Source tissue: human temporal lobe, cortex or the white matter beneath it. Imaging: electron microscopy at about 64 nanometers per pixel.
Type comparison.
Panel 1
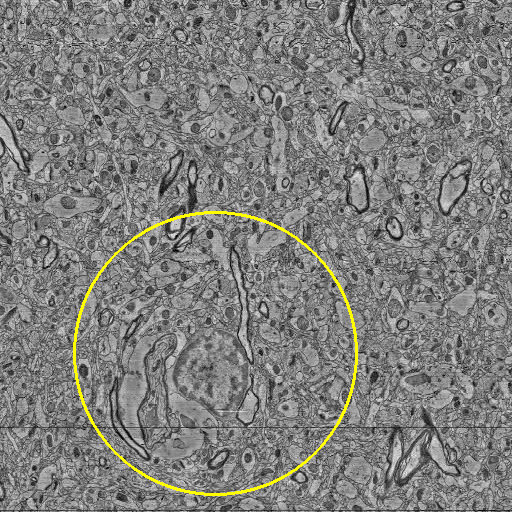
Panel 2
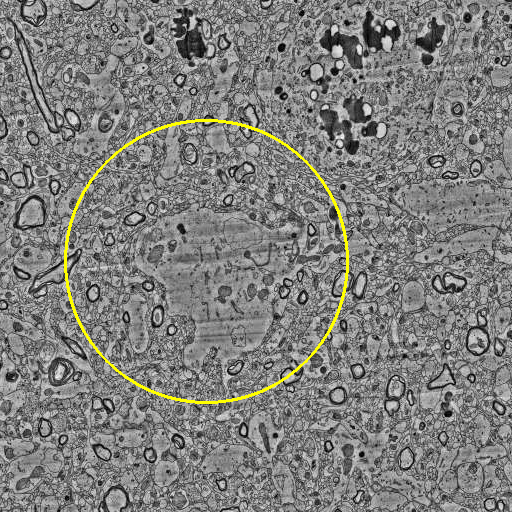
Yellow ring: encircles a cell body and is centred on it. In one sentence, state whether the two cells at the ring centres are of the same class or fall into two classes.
In these panels, the two cells at the ring centres fall into two classes.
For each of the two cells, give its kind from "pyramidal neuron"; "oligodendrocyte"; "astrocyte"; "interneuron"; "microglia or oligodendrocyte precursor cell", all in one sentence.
The first picture has an oligodendrocyte in its ring, the second has an astrocyte.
